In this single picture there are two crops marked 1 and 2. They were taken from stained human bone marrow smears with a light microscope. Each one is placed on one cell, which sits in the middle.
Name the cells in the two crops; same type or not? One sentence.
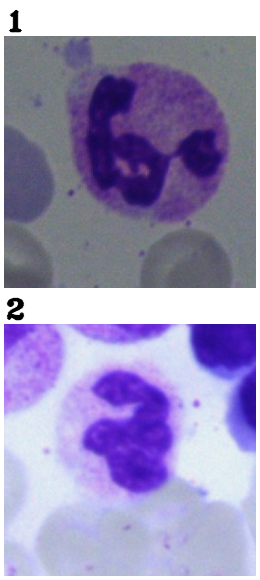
Yes, they do, both crops show neutrophils.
